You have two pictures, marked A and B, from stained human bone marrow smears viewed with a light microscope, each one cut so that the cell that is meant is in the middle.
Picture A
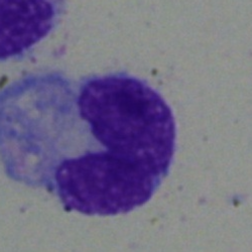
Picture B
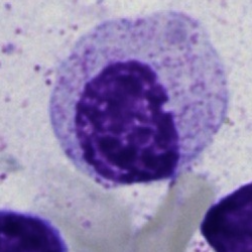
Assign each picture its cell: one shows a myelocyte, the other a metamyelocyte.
A: metamyelocyte
B: myelocyte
